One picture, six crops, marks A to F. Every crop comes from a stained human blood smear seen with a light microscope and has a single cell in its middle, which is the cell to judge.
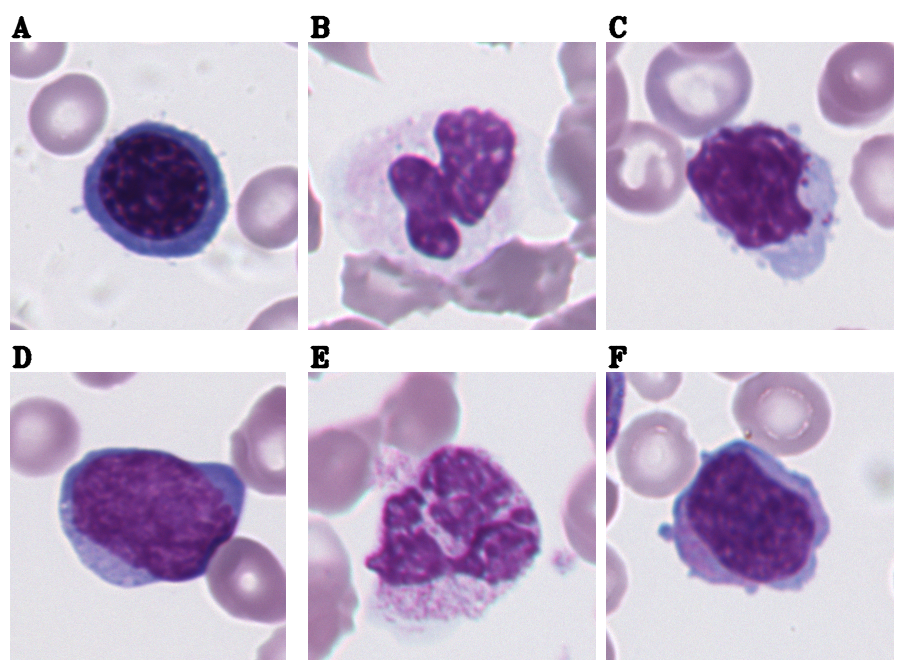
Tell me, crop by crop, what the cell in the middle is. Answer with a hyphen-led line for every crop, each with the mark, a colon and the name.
- A: normoblast
- B: segmented neutrophil
- C: large granular lymphocyte
- D: myeloblast
- E: segmented neutrophil
- F: atypical promyelocyte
